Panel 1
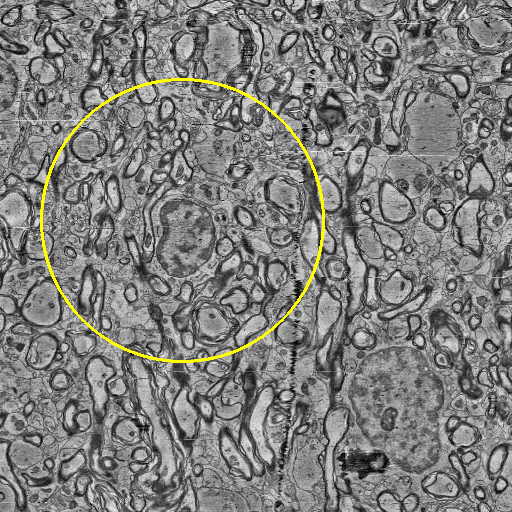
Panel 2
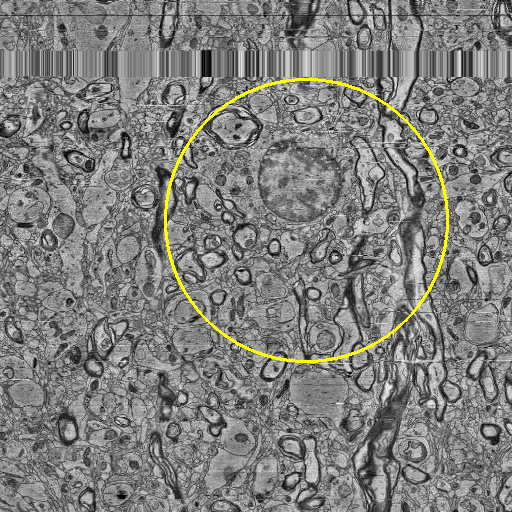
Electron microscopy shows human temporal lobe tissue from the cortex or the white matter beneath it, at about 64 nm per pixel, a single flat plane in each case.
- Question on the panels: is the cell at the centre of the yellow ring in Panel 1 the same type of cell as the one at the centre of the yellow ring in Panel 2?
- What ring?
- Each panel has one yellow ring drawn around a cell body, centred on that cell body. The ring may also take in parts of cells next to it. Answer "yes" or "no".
no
